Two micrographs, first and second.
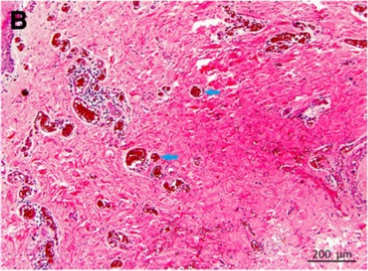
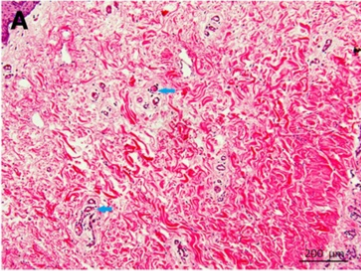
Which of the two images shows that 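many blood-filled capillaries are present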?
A: The first image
